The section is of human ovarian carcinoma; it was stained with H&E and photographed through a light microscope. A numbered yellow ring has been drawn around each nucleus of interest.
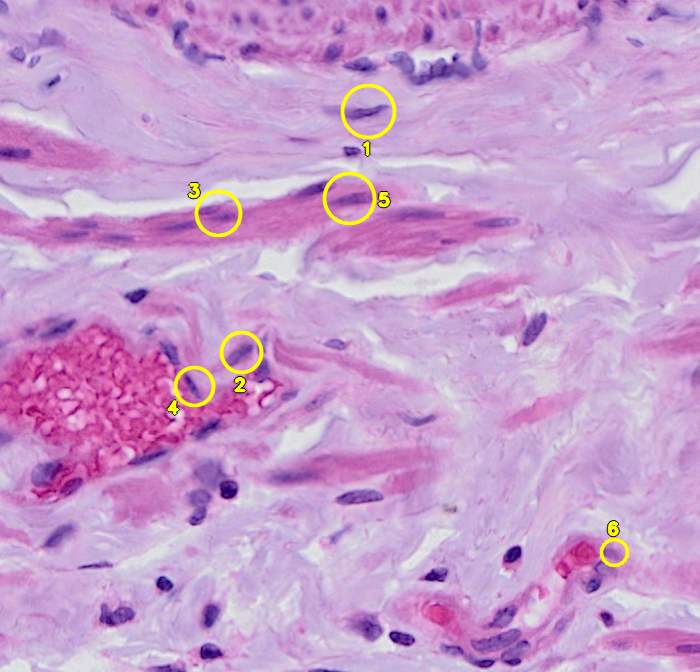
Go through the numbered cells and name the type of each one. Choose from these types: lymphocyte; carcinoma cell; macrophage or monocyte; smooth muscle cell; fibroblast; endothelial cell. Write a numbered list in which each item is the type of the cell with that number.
1. fibroblast
2. smooth muscle cell
3. smooth muscle cell
4. endothelial cell
5. smooth muscle cell
6. endothelial cell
